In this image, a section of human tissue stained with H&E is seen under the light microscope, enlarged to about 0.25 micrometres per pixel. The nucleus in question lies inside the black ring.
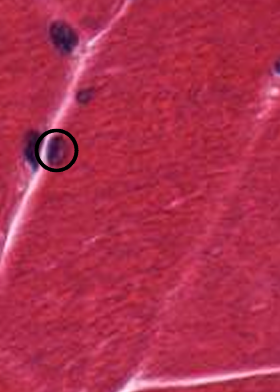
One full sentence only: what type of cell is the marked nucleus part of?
The marked nucleus lies within a skeletal muscle fibre.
